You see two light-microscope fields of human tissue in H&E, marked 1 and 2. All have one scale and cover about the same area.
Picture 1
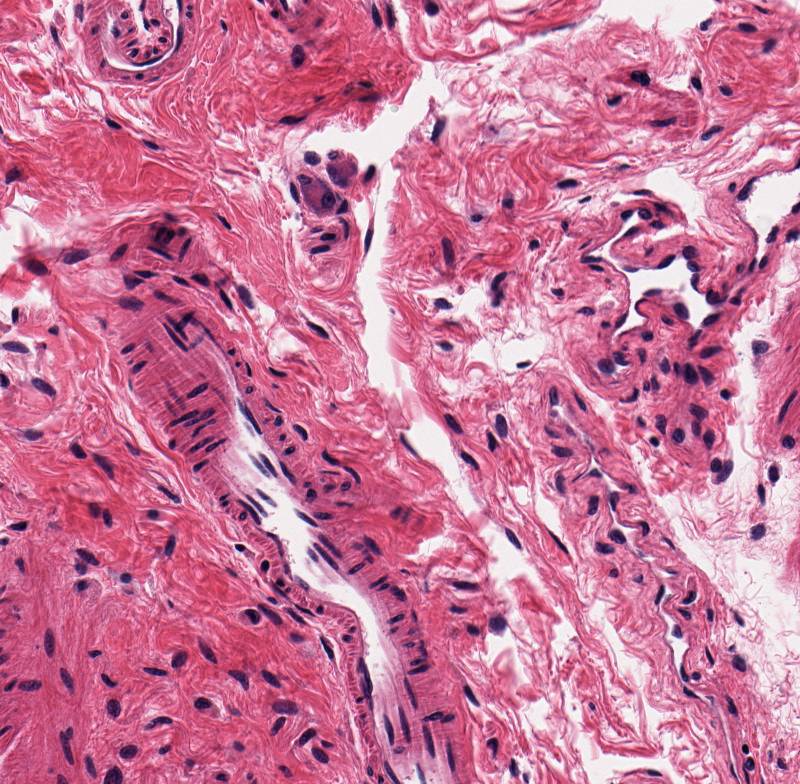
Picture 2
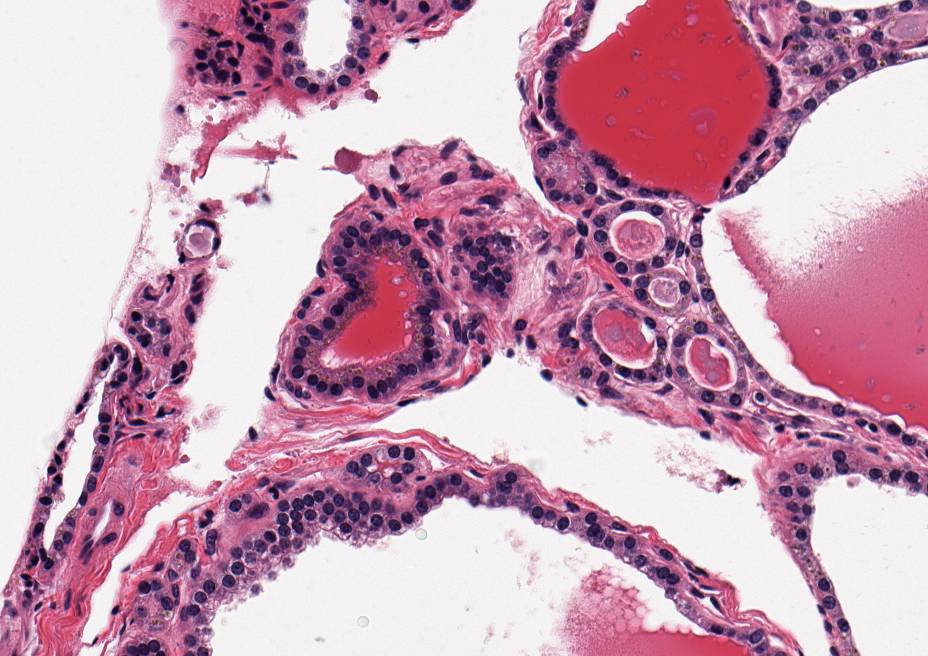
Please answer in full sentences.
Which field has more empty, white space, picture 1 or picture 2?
Picture 2 has more white space.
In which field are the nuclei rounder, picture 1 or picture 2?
It is picture 2 whose nuclei are the rounder.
